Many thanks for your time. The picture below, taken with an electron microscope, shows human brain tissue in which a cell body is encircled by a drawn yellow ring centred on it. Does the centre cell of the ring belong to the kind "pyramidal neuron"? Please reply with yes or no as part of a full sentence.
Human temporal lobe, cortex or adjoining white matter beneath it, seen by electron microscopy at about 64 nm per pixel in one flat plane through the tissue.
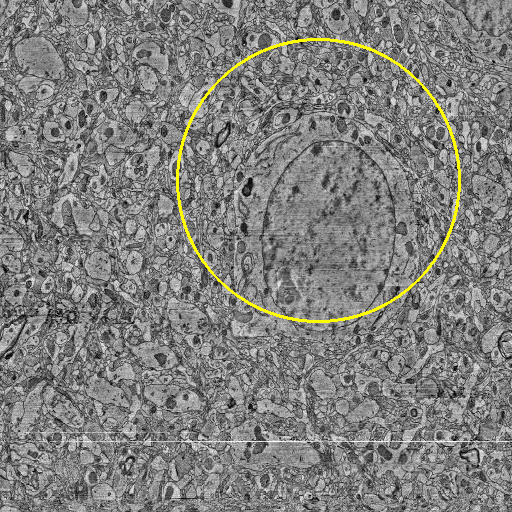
Yes, in the picture the cell at the ring's centre is of the kind you named.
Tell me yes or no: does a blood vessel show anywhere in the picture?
No, none shows.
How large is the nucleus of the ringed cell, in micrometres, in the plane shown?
Approximately 13 micrometres long and 9 micrometres wide, in this plane.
